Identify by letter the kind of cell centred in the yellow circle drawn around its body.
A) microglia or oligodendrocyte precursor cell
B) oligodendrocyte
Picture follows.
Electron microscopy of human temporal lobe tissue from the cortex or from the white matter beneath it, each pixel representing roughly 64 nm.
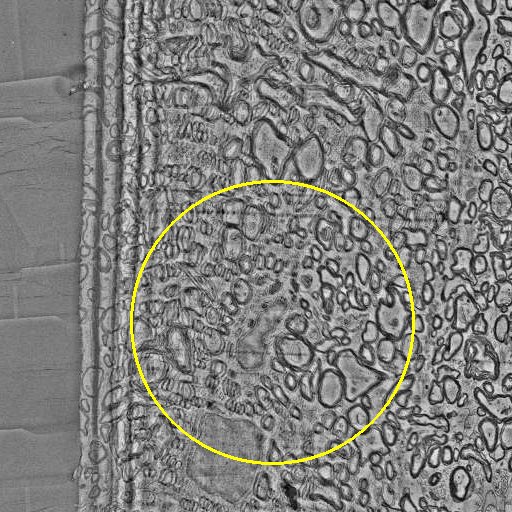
A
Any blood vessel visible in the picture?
Yes, one appears.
